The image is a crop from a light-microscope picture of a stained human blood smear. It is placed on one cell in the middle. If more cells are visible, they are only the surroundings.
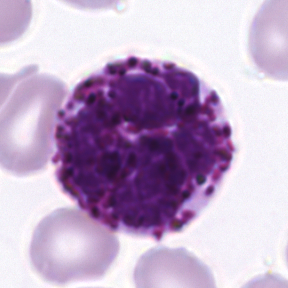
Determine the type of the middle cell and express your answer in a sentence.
The single cell at the center of the crop is a basophil.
